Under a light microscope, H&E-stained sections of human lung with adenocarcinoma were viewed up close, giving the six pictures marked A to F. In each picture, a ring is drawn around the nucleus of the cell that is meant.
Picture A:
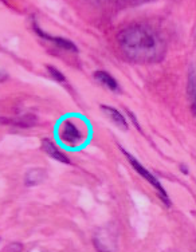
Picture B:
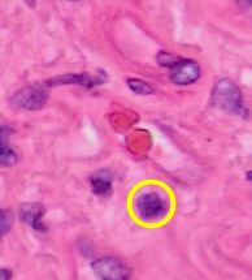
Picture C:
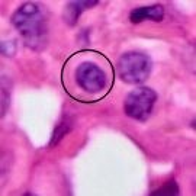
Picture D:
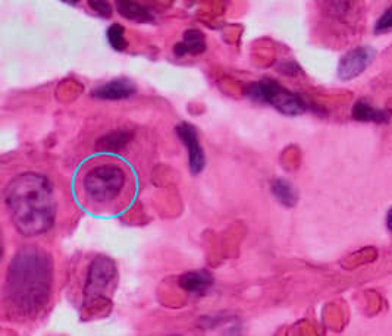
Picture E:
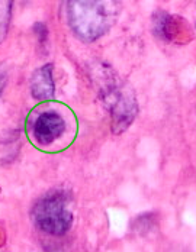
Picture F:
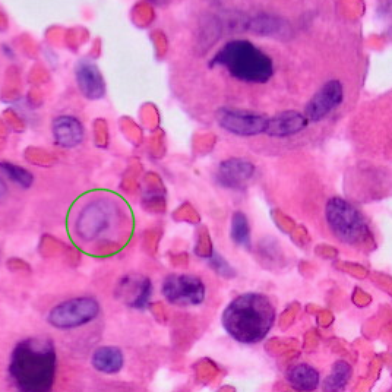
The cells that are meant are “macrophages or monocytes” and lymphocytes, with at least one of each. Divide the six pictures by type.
A: lymphocyte
B: lymphocyte
C: lymphocyte
D: macrophage or monocyte
E: lymphocyte
F: macrophage or monocyte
